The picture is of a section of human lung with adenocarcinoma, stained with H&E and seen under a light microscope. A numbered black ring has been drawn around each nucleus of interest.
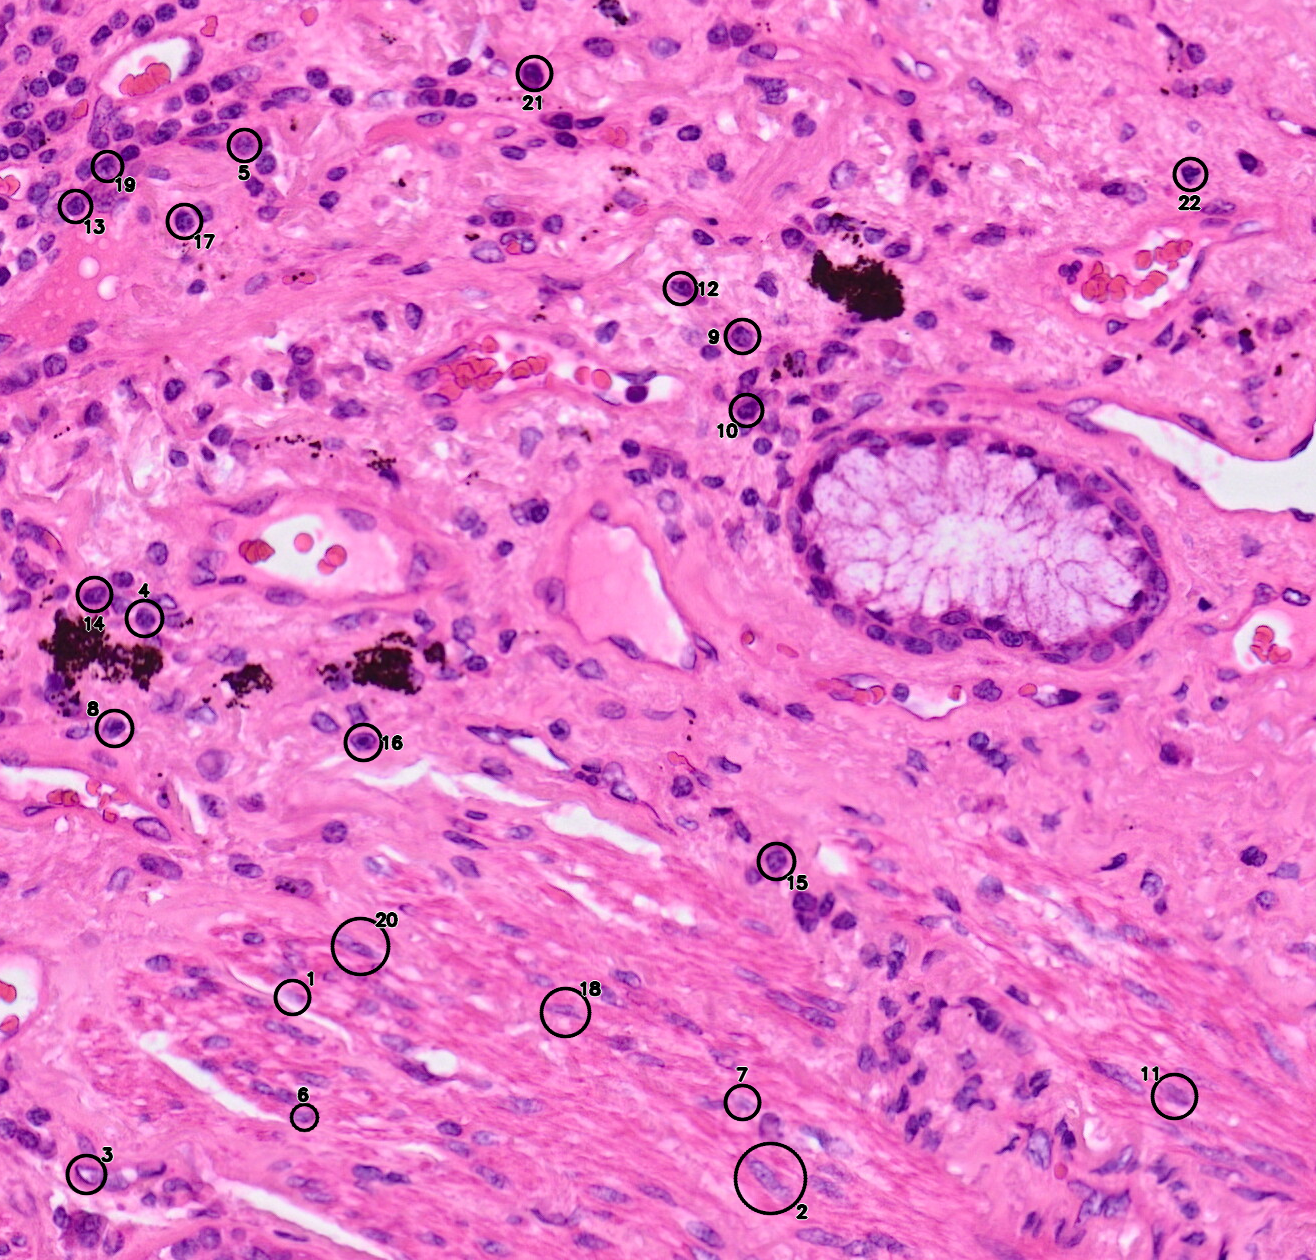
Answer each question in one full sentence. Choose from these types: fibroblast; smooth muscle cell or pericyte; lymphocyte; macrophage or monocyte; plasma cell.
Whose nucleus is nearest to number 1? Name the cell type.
The nucleus nearest to number 1 is that of a smooth muscle cell or pericyte.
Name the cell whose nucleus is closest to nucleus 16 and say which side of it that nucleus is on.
The nearest one is a fibroblast, found above nucleus 16.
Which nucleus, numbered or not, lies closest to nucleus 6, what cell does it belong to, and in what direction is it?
Just above and to the left of nucleus 6 lies the nearest nucleus, which belongs to a smooth muscle cell or pericyte.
